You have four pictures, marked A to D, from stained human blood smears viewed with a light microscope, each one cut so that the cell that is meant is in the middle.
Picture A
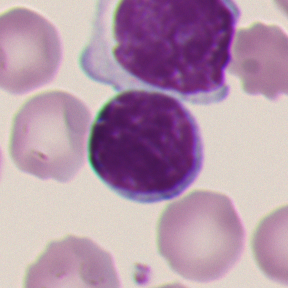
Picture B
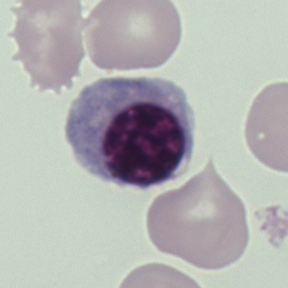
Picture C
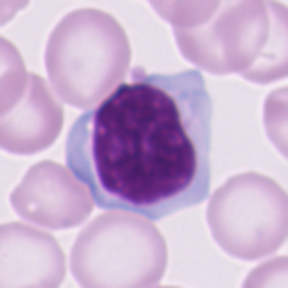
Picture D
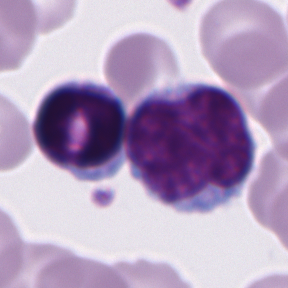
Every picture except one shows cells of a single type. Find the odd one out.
B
